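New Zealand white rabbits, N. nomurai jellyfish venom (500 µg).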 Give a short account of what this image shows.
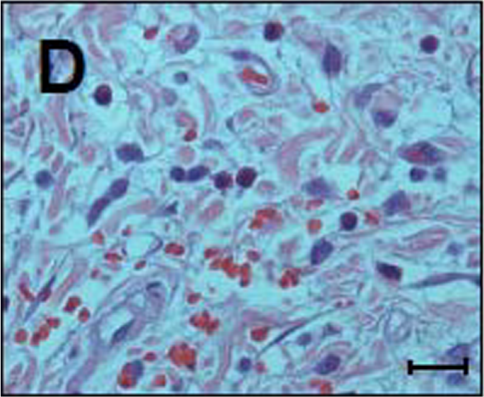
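This is dermis of skin in a lesion. The pink collagen bundles look thin, pale and loosely spread, separated by wide, pale bluish spaces, suggesting swelling of the tissue. Many bright red, round bodies without nuclei lie free between the fibres, away from any clear vessel. Numerous cells with dark purple, rounded nuclei are scattered through the field, some with a rim of pale cytoplasm, alongside a few elongated nuclei. A small vessel-like ring sits at the lower left. The picture is of disturbed dermis with escaped blood cells and many infiltrating cells.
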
